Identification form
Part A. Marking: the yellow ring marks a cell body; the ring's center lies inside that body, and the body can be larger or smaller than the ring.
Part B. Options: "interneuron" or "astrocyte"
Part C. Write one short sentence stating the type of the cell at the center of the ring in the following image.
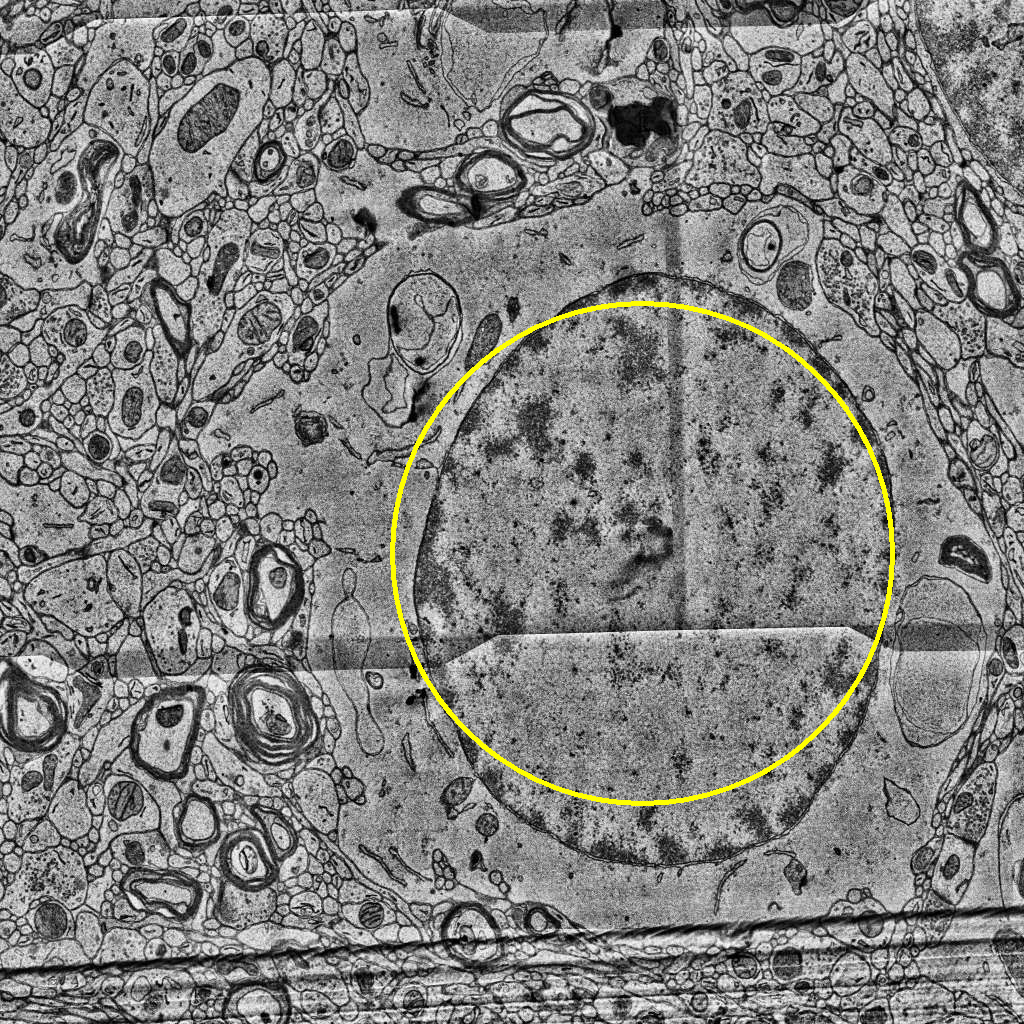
The center of the ring holds an astrocyte.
